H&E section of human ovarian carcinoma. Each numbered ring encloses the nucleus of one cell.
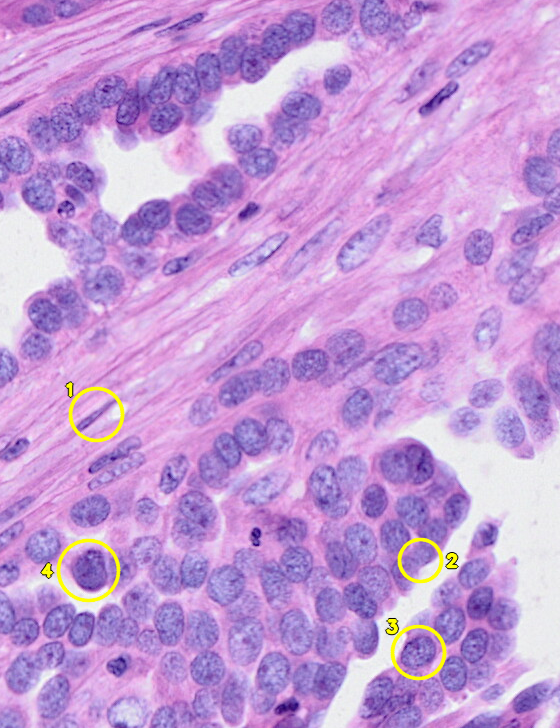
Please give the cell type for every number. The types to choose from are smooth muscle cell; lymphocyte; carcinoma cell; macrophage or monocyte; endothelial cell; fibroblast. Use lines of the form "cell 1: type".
cell 1: fibroblast
cell 2: carcinoma cell
cell 3: carcinoma cell
cell 4: carcinoma cell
